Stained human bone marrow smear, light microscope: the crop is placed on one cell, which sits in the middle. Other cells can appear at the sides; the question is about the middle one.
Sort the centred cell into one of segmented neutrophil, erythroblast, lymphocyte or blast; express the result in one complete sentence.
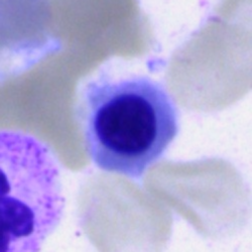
At the center of the crop sits an erythroblast.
